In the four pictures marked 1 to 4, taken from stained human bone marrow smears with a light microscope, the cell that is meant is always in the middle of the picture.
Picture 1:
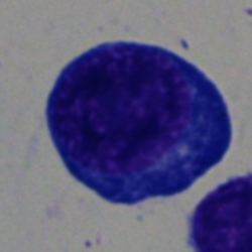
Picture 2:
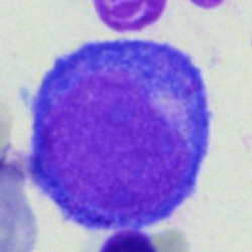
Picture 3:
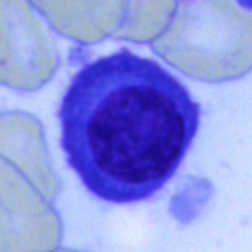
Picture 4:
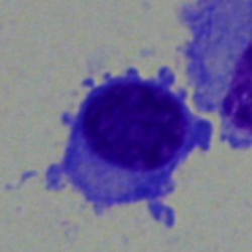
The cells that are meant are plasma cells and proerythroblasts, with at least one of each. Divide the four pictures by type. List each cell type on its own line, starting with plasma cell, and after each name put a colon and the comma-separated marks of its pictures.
plasma cell: 3, 4
proerythroblast: 1, 2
